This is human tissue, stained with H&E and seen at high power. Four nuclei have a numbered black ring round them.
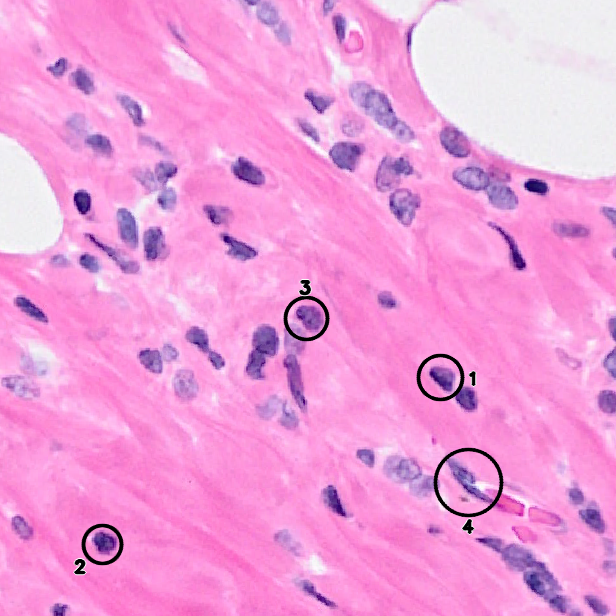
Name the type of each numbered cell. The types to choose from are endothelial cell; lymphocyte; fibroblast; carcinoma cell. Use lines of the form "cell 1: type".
cell 1: lymphocyte
cell 2: lymphocyte
cell 3: lymphocyte
cell 4: endothelial cell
